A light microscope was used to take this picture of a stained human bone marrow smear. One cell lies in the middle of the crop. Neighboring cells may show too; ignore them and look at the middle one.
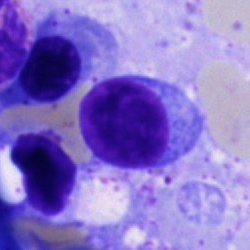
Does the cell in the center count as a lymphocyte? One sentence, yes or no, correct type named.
Yes, the cell found at the centre of the crop is a lymphocyte.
